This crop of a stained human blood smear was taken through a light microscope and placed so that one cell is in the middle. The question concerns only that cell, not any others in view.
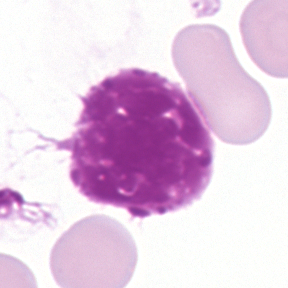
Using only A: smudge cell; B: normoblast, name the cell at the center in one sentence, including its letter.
In this crop the middle cell is a smudge cell, so option A is the correct answer.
